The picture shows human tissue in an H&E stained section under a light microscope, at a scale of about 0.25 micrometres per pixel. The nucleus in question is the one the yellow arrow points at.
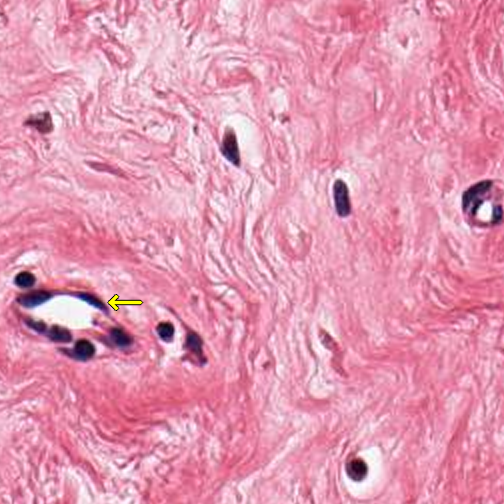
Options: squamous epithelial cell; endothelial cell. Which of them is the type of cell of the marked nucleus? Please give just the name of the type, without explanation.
endothelial cell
